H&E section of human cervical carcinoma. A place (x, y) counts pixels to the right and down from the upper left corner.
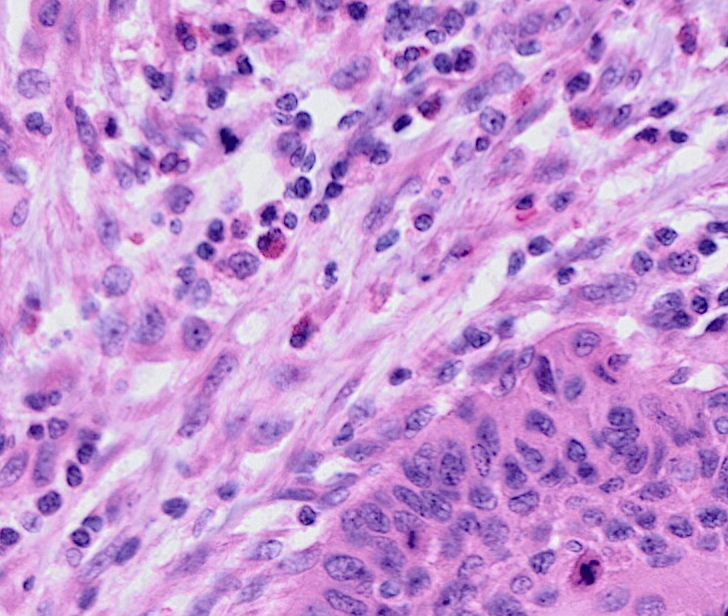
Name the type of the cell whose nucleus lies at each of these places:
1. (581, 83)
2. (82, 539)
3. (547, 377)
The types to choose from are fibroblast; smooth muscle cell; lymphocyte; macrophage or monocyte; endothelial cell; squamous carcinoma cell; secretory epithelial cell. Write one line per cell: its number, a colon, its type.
1: lymphocyte
2: lymphocyte
3: squamous carcinoma cell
